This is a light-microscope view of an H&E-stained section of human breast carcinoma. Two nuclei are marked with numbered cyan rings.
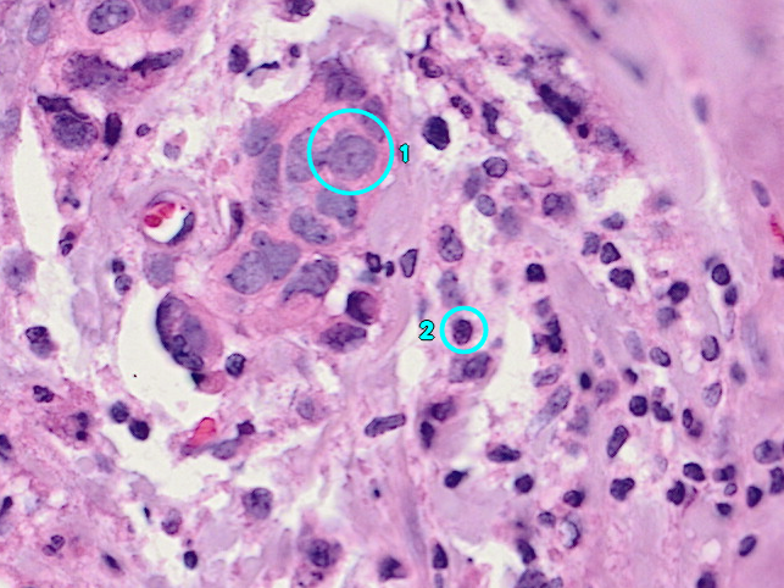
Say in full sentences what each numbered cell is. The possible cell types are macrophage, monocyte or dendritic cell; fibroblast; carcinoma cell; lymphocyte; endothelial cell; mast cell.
Cell 1 is a carcinoma cell. Cell 2 is a lymphocyte.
